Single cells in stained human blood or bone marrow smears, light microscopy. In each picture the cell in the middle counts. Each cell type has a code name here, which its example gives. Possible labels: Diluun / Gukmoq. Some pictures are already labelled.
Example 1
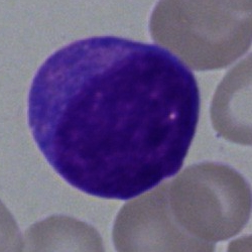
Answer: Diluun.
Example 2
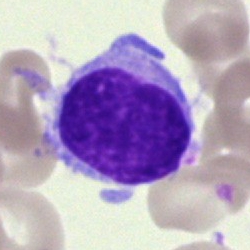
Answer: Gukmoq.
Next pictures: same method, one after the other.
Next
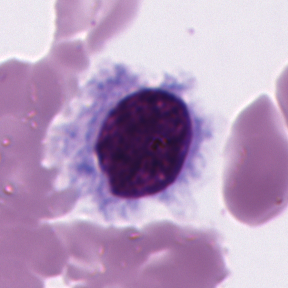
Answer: Gukmoq.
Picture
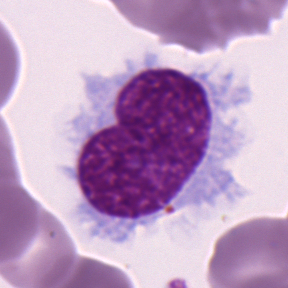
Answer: Gukmoq.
